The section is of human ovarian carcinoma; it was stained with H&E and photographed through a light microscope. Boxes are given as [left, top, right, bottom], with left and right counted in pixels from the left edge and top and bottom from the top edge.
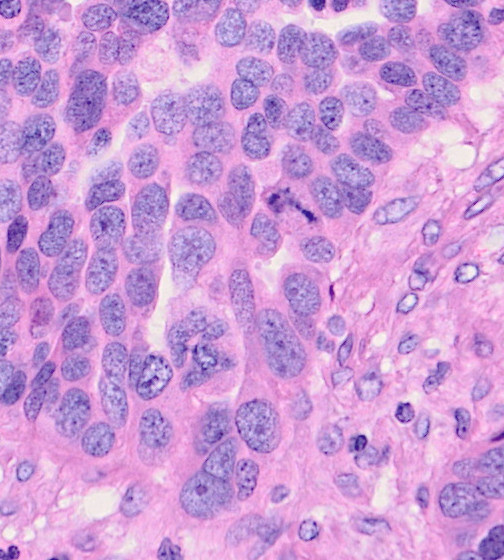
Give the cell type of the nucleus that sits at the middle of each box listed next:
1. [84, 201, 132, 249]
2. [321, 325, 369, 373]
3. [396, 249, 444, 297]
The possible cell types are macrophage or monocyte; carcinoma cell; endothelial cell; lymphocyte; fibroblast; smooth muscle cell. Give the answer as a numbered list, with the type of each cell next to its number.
1. carcinoma cell
2. fibroblast
3. fibroblast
